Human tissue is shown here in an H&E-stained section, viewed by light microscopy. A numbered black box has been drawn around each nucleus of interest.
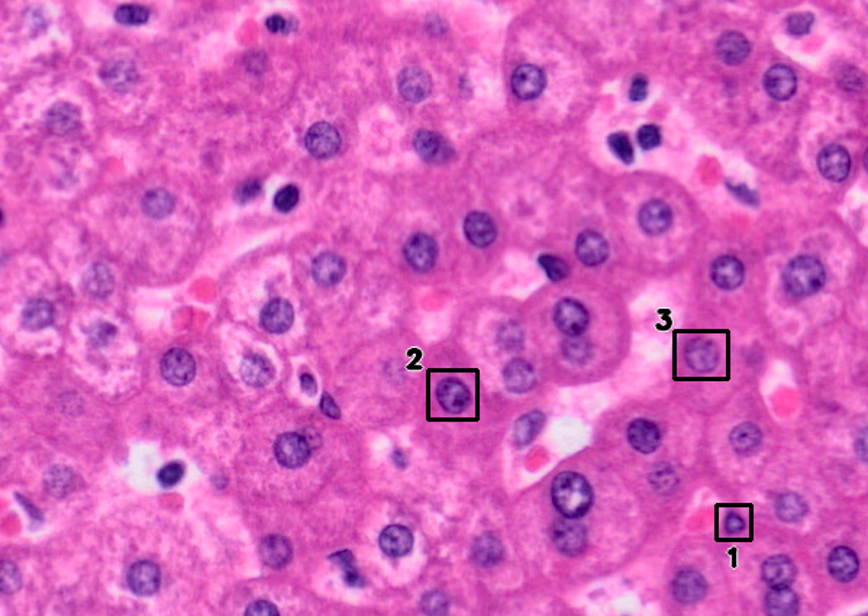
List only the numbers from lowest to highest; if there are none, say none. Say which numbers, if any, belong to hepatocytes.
2, 3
